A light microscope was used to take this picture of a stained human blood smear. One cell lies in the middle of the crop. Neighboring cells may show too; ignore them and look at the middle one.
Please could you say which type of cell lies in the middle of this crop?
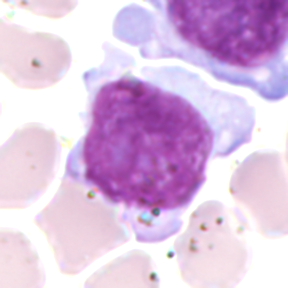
plasma cell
